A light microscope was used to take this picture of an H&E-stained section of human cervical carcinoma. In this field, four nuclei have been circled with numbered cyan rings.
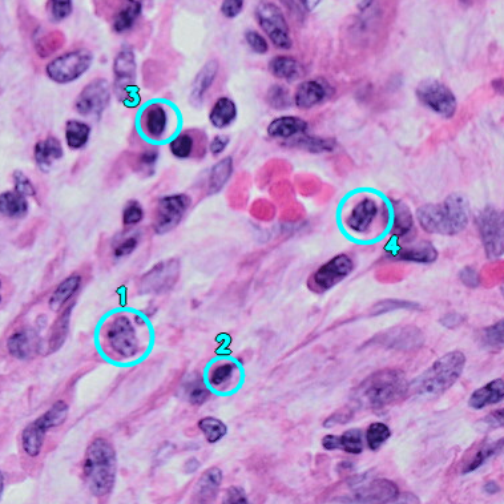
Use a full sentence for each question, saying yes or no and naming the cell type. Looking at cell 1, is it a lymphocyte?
No, cell number 1 is identified as a macrophage or monocyte, not as a lymphocyte.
